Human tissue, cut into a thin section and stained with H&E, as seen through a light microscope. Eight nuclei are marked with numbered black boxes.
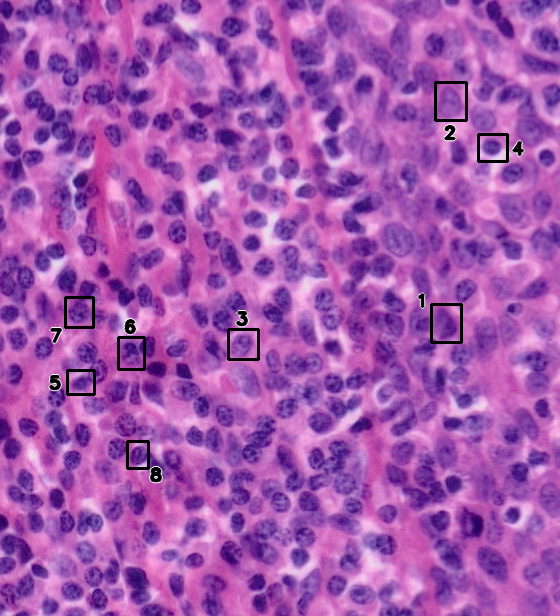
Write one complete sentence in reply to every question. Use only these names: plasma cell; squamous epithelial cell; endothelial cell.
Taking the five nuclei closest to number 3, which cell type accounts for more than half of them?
Endothelial cells make up most of the five nuclei closest to number 3.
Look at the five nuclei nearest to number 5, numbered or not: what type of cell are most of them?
Around number 5, most of the five nearest nuclei are those of plasma cells.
